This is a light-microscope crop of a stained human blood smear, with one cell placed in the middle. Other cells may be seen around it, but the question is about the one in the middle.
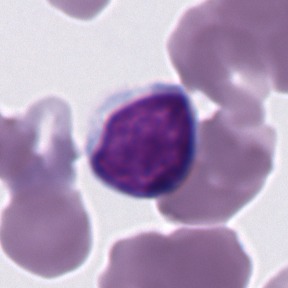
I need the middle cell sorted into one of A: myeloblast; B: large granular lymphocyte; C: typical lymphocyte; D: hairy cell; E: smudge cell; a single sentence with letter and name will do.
In this crop the middle cell is a typical lymphocyte, so option C is the correct answer.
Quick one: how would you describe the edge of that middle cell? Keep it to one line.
Thanks for asking; the cell edge is smooth and has no projections.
